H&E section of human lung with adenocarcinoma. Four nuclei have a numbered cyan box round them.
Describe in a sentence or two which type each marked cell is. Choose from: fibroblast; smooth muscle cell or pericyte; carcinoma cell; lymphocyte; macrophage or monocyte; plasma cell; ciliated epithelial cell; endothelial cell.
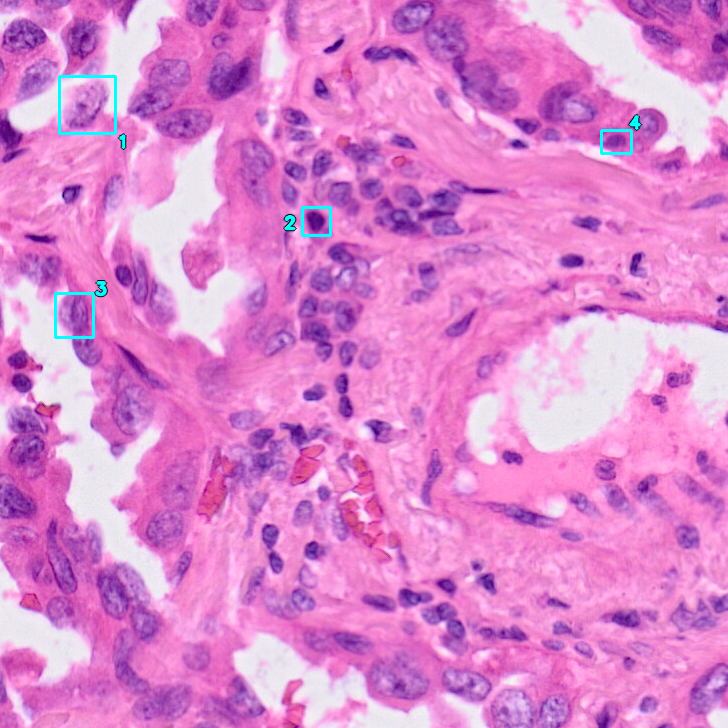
Cells 1, 3 and 4 are carcinoma cells. Cell 2 is a plasma cell.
